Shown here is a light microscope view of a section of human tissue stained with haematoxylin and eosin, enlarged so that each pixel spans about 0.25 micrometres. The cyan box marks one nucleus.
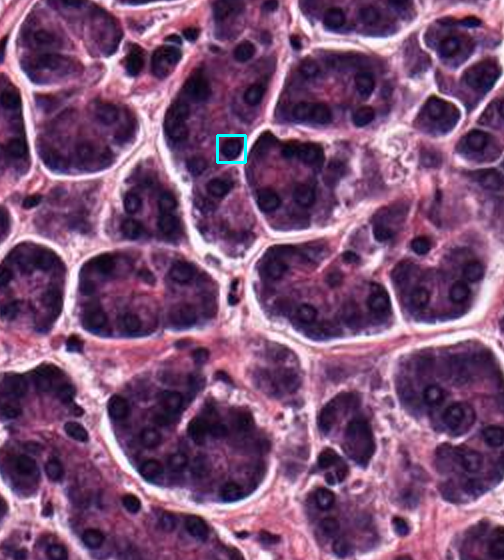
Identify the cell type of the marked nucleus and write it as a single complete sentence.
The cell to which the marked nucleus belongs is a pancreatic acinar cell.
